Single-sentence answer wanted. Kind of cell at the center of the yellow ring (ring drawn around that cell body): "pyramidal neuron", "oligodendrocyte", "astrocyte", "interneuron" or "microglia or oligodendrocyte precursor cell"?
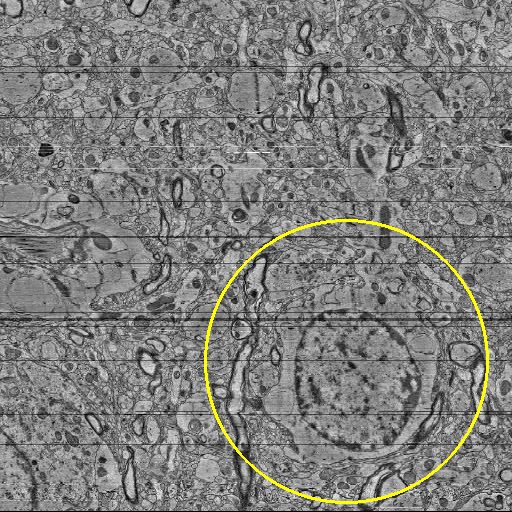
The cell centered in the ring is an astrocyte.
